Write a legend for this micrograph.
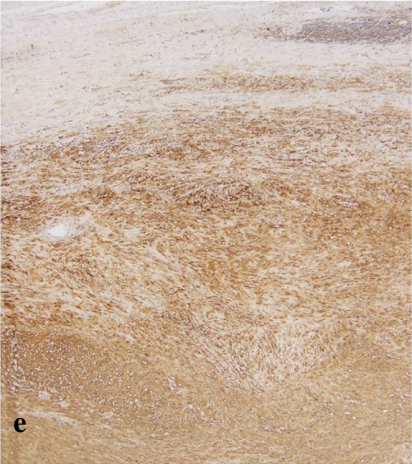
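Spindle-cell tumor in which the tumor cells are diffusely stained brown. The cells are elongated and arranged in bundles that sweep across the field. A small round vessel lumen is seen within the tumor.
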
